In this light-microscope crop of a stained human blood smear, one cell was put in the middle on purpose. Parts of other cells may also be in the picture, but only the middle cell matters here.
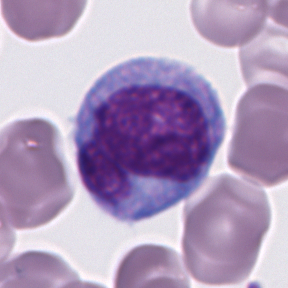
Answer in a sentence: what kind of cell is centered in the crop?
In this crop, the cell at the very middle is a monocyte.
